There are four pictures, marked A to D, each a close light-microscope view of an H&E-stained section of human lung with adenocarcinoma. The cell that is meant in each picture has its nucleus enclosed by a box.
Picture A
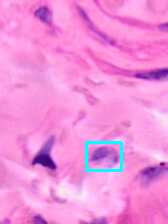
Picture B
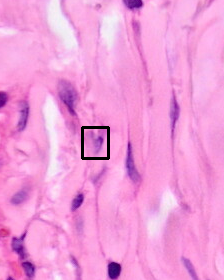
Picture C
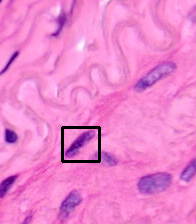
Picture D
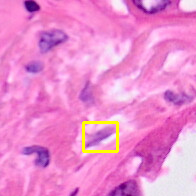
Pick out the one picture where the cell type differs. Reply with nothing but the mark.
C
